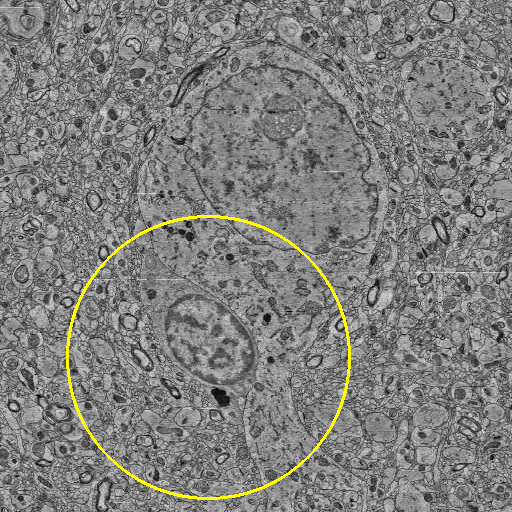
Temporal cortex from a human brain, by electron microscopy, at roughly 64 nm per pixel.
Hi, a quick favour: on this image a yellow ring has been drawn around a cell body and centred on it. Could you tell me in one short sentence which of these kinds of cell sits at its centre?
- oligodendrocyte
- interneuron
The ring is centred on an oligodendrocyte.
